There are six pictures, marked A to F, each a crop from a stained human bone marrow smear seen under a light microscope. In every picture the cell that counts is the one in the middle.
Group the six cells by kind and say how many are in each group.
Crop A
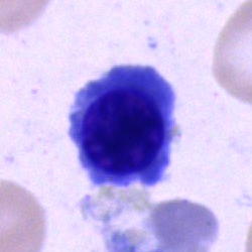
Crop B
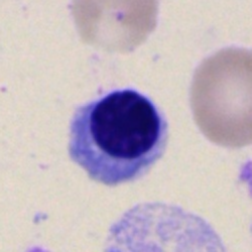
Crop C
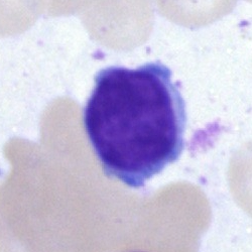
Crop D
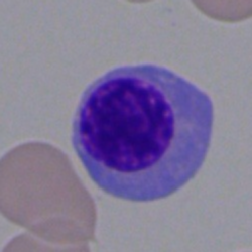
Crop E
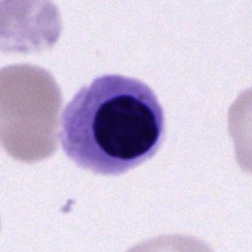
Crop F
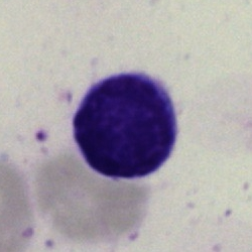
erythroblast: 4
lymphocyte: 2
